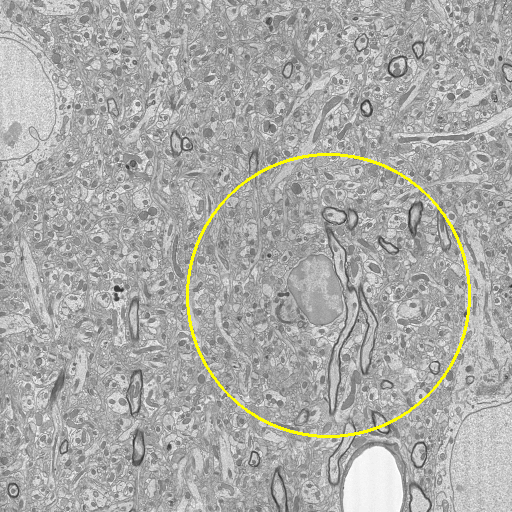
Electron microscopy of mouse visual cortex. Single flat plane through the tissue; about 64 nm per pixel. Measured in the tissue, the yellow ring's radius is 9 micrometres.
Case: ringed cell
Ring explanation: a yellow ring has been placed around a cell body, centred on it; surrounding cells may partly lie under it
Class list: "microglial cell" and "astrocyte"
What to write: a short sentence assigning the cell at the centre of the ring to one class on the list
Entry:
The cell at the ring's centre is a microglial cell.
